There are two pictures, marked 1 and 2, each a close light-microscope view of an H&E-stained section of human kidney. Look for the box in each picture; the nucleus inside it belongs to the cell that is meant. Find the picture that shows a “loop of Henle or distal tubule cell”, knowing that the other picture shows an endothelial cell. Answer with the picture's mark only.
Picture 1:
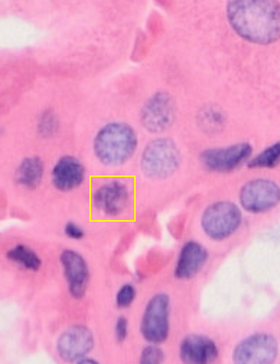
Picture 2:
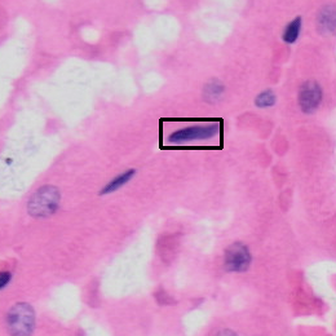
1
